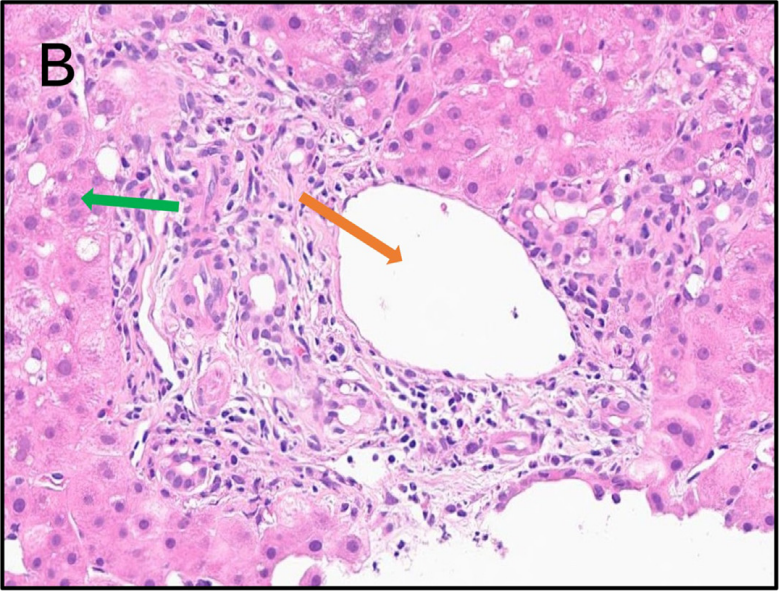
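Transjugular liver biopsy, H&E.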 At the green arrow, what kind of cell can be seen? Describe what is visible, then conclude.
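The arrow points to large polygonal cells with abundant pink cytoplasm. The cells have round central nuclei and are arranged in plates. That points to this answer: intact hepatocytes.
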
